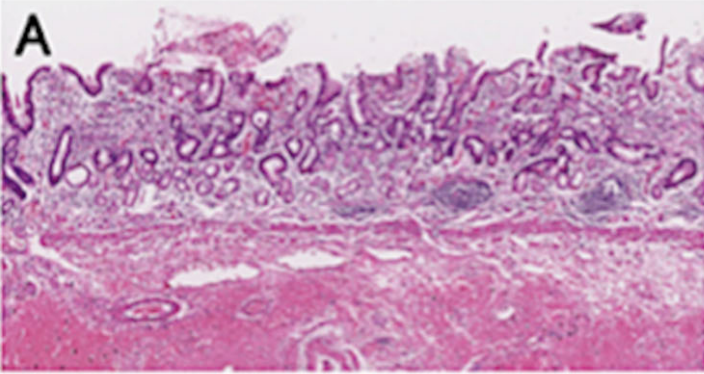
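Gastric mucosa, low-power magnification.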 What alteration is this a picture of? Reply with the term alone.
Irregularly fused glands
